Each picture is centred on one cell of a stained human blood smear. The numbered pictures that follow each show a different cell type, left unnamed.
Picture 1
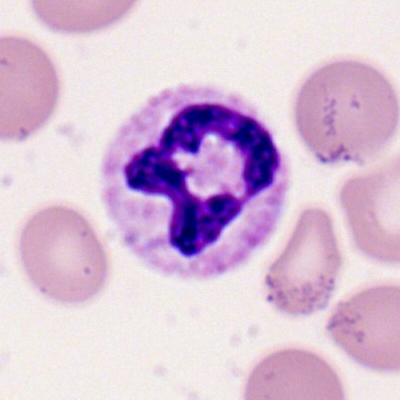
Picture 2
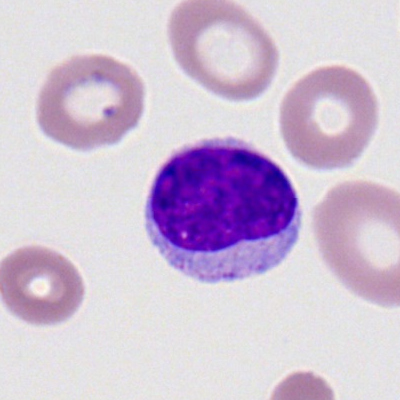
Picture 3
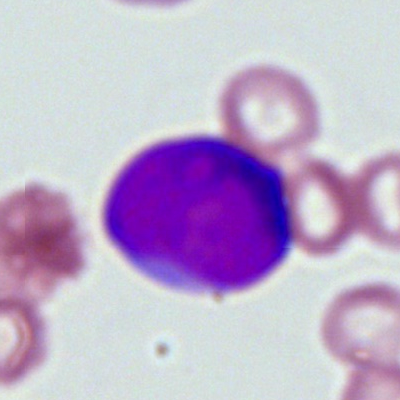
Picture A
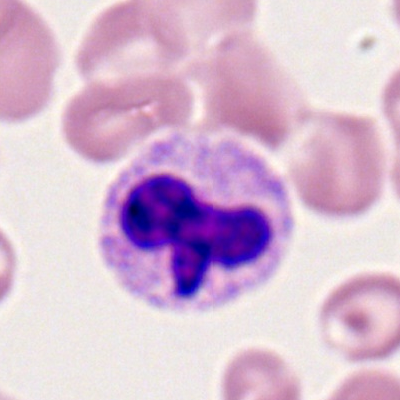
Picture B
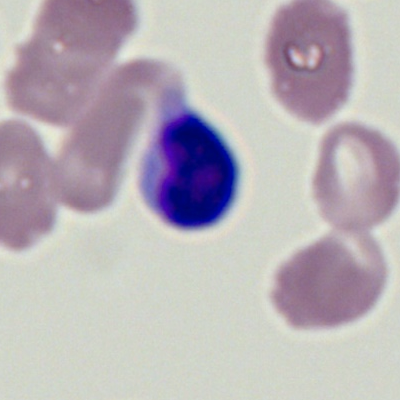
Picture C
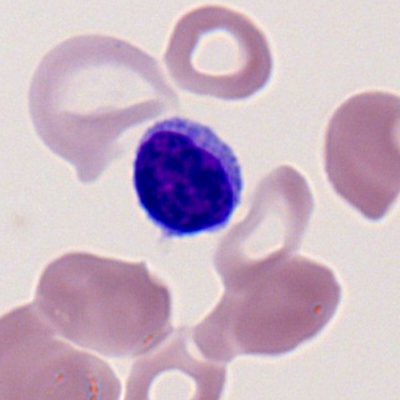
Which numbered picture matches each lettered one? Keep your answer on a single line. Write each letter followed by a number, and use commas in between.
A 1, B 2, C 2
